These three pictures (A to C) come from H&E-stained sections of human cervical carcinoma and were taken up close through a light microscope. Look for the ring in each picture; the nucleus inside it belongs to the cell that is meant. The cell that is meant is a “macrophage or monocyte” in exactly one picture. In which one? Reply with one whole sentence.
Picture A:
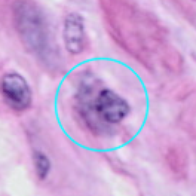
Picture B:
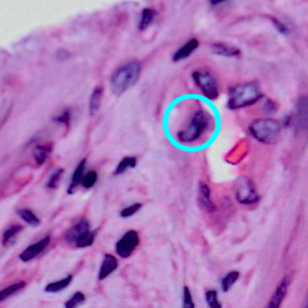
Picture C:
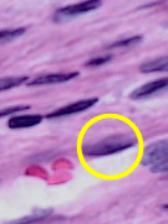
The picture with the “macrophage or monocyte” is A.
